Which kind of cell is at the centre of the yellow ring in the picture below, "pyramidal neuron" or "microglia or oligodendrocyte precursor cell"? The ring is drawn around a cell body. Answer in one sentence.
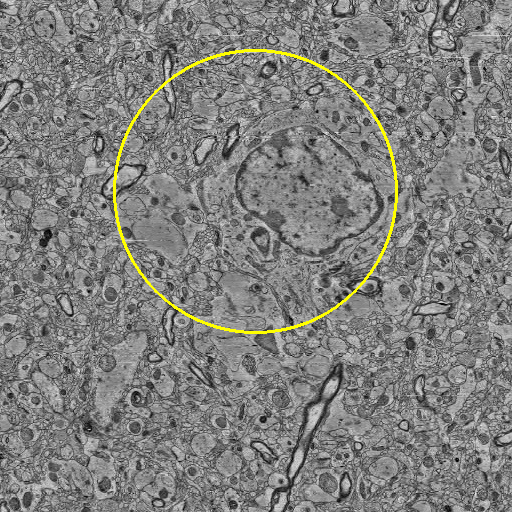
The ring's central cell is a microglial cell or oligodendrocyte precursor cell.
